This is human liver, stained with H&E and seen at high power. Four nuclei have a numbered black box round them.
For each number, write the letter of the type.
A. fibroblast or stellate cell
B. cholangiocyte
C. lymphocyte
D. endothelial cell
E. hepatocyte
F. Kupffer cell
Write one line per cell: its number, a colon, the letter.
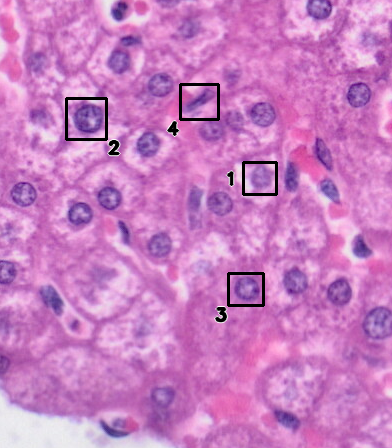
1: E
2: E
3: E
4: F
